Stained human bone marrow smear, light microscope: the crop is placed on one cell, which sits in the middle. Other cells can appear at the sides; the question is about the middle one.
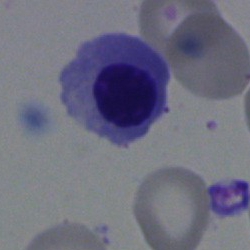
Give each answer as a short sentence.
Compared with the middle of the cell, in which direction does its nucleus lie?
The nucleus sits off-centre, toward the lower right.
